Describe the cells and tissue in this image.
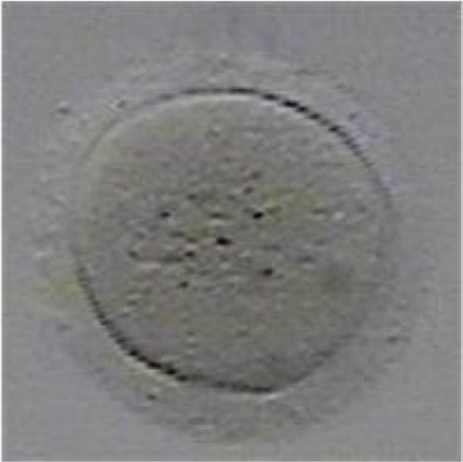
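A single large, slightly oval oocyte lies within a broad, pale zona pellucida. The cell border stands out as a dark, relief-like rim. The ooplasm looks coarser and more granular than a smooth, pale cytoplasm would. Several dark granules are clustered toward the centre of the cell. No small polar body is visible in the space between the cell and the zona. The outline of the cell is less evenly round.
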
